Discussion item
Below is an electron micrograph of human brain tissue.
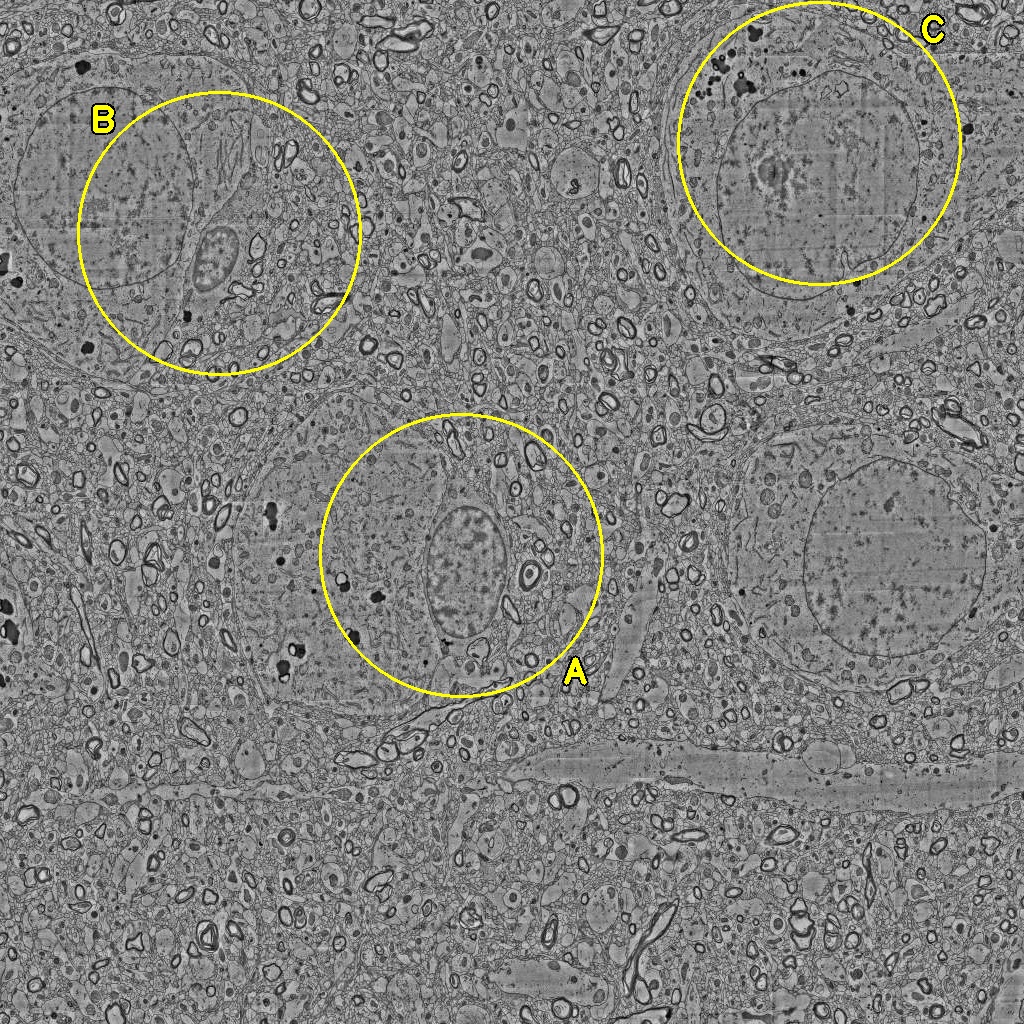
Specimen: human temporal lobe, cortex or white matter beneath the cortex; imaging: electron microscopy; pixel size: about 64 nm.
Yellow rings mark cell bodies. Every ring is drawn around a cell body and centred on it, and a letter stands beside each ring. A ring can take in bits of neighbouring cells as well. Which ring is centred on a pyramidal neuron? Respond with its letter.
C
